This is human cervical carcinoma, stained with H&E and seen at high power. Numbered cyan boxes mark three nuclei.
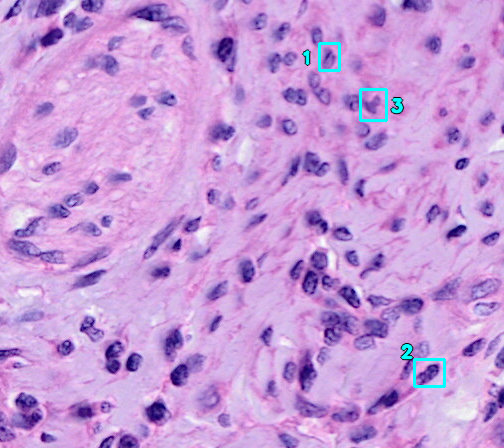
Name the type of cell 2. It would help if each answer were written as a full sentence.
Identified as a lymphocyte is the cell bearing the number 2.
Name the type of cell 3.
The cell assigned the number 3 is a smooth muscle cell.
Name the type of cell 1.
In the marked set, the cell given number 1 is a smooth muscle cell.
